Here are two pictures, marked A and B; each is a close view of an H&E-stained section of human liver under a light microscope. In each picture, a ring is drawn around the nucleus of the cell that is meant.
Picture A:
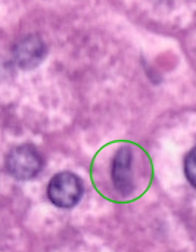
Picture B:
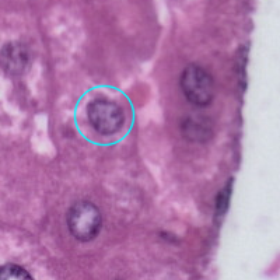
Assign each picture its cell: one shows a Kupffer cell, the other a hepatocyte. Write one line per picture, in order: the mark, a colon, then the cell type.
A: Kupffer cell
B: hepatocyte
